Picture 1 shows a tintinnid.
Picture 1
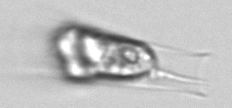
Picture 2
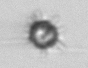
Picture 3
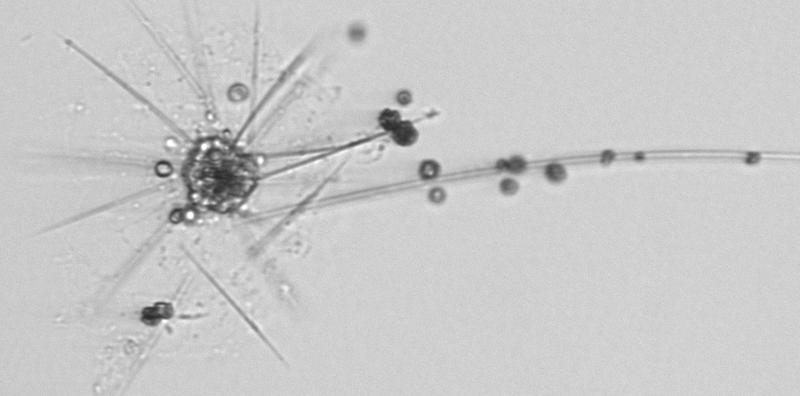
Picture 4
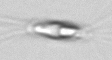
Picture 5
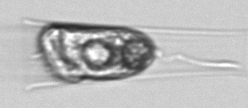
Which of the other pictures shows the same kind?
Picture 5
